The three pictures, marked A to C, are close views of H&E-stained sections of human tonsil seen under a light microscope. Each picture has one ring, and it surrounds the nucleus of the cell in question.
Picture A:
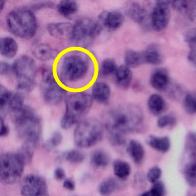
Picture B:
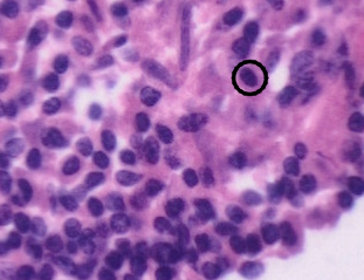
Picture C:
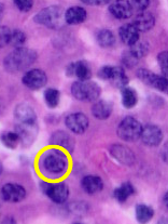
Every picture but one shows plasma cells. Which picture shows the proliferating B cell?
A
